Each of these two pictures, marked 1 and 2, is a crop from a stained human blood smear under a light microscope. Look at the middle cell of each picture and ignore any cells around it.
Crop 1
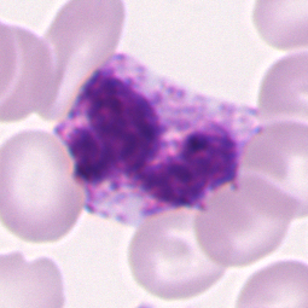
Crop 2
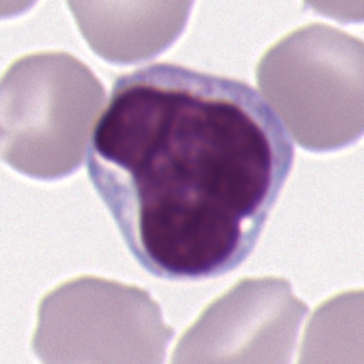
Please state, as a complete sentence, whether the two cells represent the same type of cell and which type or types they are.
No, enter a basophil for crop 1 and a typical lymphocyte for crop 2.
